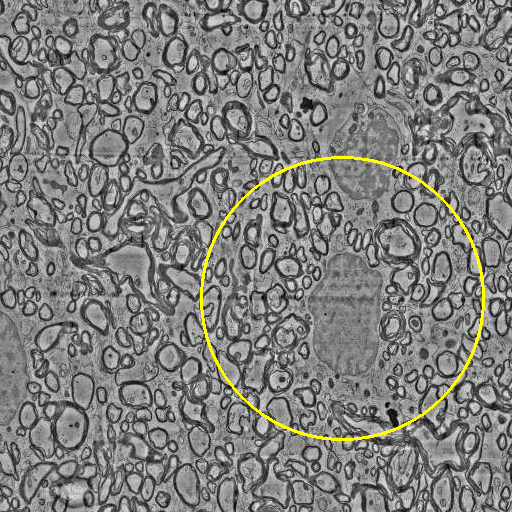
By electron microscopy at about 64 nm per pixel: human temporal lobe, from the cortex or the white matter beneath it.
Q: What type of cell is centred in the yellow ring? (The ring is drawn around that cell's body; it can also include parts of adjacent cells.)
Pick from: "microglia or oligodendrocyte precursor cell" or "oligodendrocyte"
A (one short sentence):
The yellow ring is centred on an oligodendrocyte.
